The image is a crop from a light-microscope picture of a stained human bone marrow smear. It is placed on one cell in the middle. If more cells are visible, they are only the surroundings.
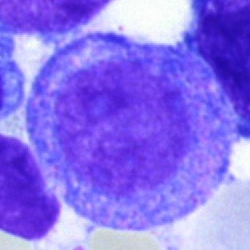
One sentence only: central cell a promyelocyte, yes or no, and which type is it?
Yes, the cell at the center of the crop is a promyelocyte.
